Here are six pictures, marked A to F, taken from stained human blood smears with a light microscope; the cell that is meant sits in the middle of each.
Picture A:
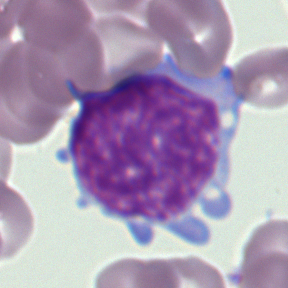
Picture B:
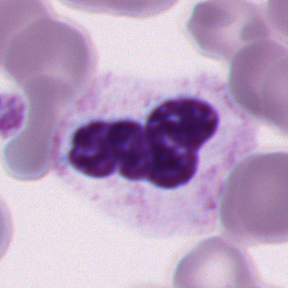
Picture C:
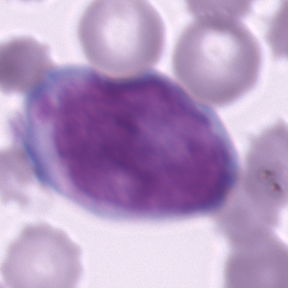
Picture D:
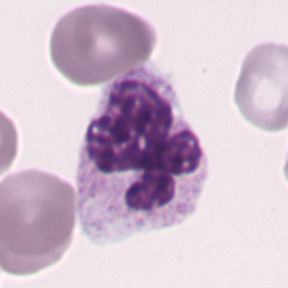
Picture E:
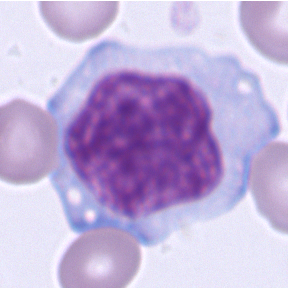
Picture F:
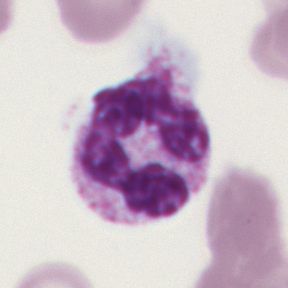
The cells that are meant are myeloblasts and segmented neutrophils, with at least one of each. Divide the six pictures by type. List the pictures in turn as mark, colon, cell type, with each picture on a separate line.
A: myeloblast
B: segmented neutrophil
C: myeloblast
D: segmented neutrophil
E: myeloblast
F: segmented neutrophil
